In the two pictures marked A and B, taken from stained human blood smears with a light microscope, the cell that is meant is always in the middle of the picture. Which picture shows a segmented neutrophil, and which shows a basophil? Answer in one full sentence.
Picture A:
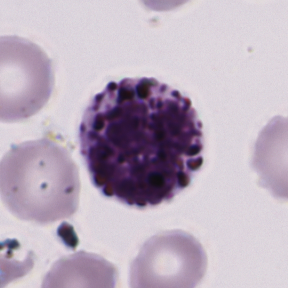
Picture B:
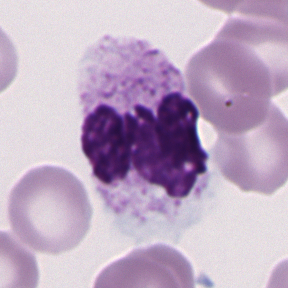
It is picture A that shows a basophil, and picture B that shows a segmented neutrophil.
